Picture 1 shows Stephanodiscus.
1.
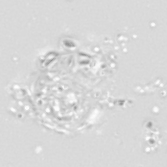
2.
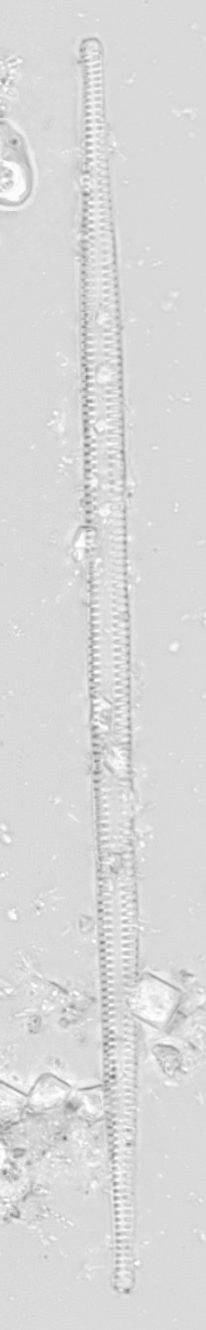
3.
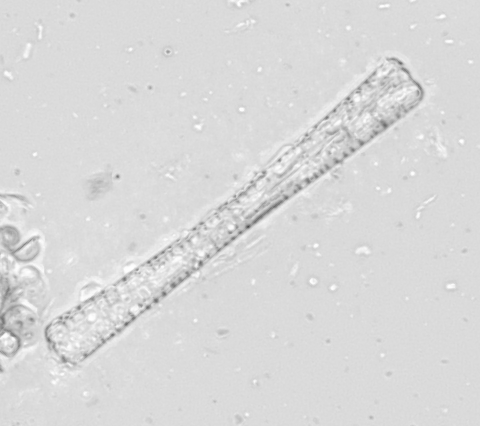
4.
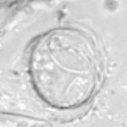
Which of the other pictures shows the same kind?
Picture 4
